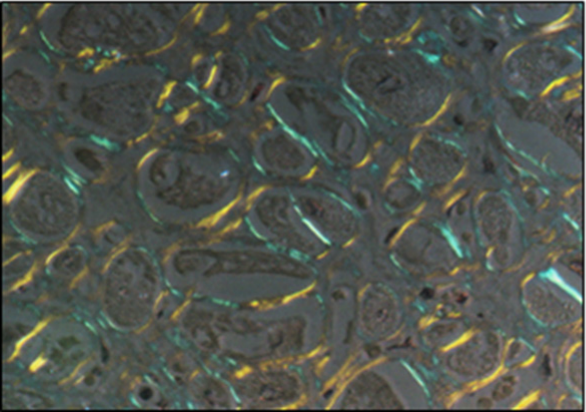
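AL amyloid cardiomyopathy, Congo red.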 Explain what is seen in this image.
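The myocytes appear as dim grey rounded profiles with a granular texture. Bright yellow-gold and green streaks run along their borders in the material between the cells. The streaks outline many of the fibres, showing that the deposit lies outside the cells and surrounds them.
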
